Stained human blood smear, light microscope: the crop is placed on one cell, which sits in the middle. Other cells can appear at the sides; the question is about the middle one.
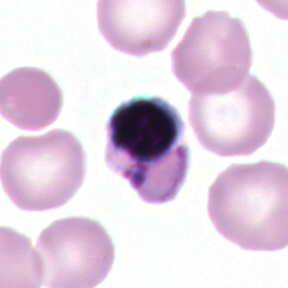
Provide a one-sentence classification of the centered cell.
The centrally positioned cell in the crop represents a normoblast.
